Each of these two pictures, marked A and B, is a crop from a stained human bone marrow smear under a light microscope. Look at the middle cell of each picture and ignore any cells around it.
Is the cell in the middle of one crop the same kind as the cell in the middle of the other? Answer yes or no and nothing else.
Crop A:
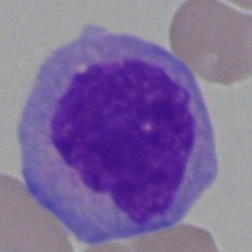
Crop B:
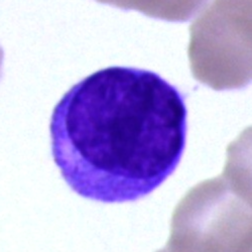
no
